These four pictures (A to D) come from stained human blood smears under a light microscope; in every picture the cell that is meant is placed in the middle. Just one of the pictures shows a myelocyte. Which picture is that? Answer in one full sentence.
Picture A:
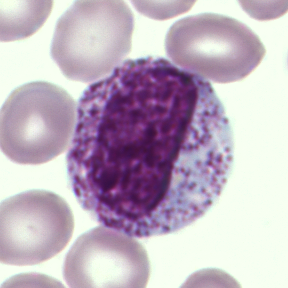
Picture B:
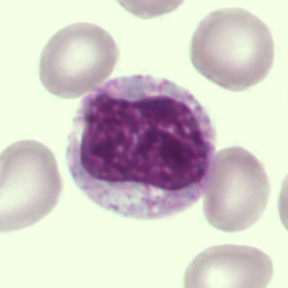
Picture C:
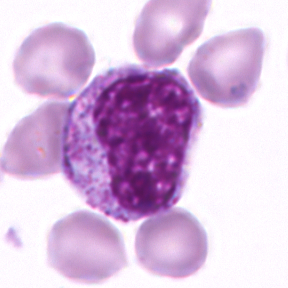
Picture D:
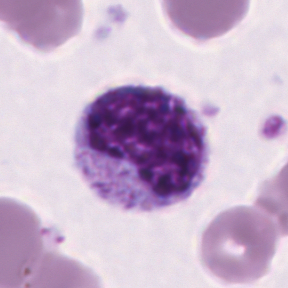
Picture A shows the myelocyte.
